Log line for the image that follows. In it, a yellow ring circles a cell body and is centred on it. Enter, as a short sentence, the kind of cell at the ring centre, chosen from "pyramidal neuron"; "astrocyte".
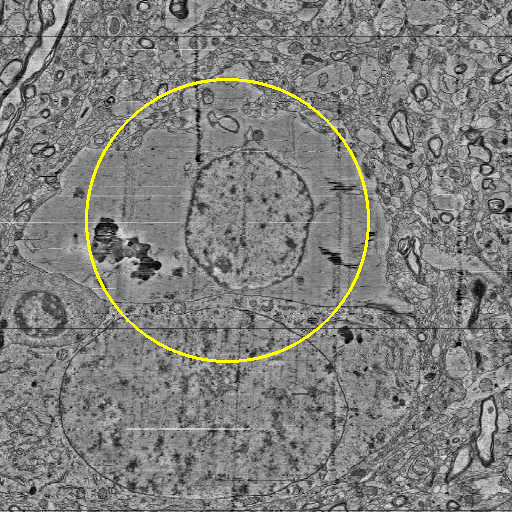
The ring centre is occupied by an astrocyte.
